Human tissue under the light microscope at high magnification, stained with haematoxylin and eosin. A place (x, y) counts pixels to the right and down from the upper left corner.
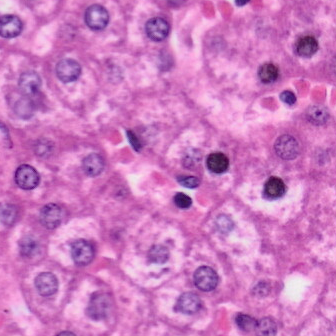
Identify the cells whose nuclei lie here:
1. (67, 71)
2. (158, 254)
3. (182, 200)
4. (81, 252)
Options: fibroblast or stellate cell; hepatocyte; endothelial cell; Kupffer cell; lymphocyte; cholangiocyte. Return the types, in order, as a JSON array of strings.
["hepatocyte", "hepatocyte", "lymphocyte", "hepatocyte"]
